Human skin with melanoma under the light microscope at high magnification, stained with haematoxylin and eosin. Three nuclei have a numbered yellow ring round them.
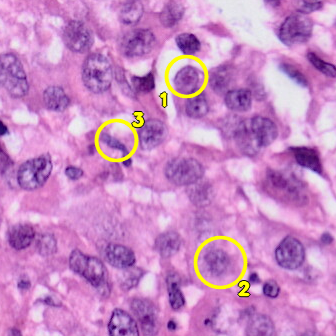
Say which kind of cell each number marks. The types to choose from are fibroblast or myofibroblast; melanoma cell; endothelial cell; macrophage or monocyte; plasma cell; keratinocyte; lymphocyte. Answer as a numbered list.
1. melanoma cell
2. melanoma cell
3. macrophage or monocyte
